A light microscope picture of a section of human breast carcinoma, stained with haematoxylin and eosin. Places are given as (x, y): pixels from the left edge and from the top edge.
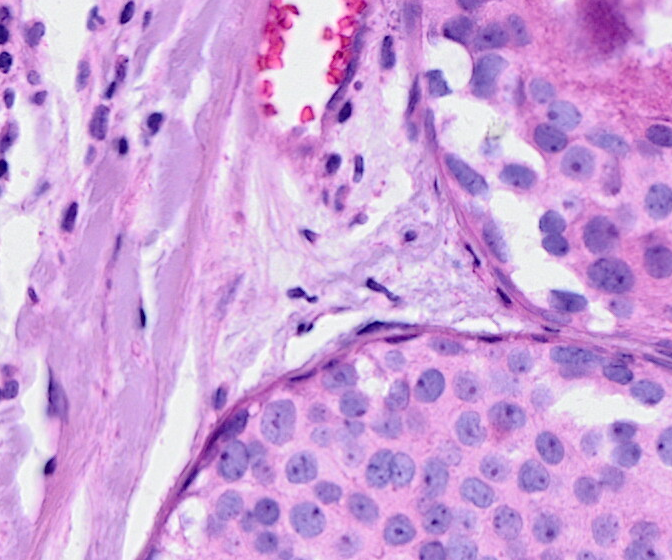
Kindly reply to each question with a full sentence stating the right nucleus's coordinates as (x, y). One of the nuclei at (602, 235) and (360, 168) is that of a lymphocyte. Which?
The nucleus that belongs to a lymphocyte sits at (360, 168).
